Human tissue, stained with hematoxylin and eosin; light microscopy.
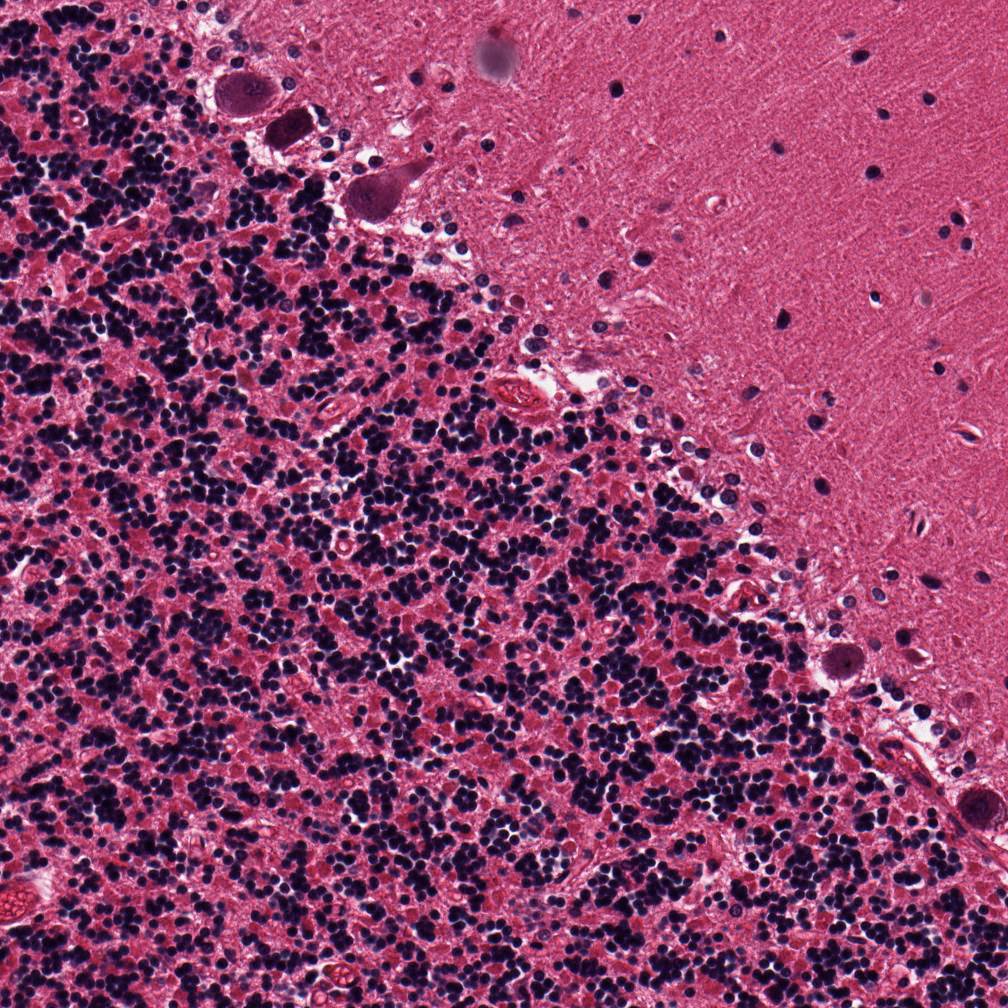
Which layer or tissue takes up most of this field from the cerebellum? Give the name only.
granular layer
